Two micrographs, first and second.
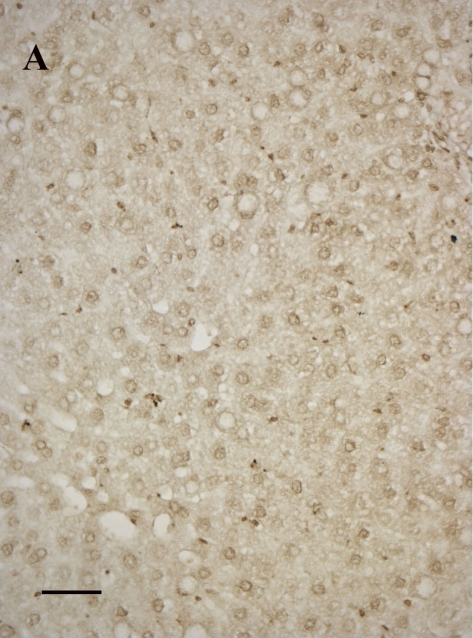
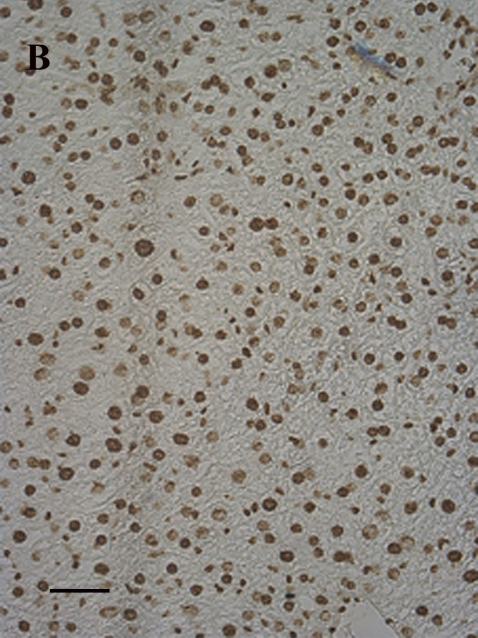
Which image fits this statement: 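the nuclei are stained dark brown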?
the second image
